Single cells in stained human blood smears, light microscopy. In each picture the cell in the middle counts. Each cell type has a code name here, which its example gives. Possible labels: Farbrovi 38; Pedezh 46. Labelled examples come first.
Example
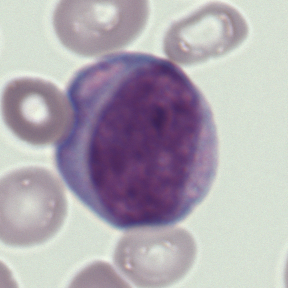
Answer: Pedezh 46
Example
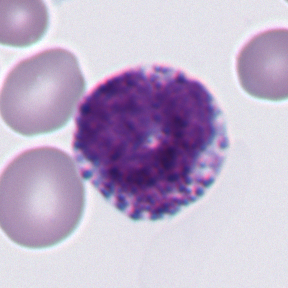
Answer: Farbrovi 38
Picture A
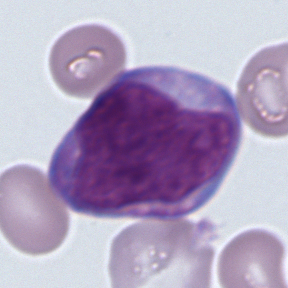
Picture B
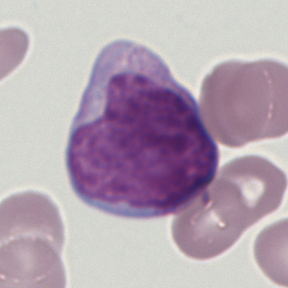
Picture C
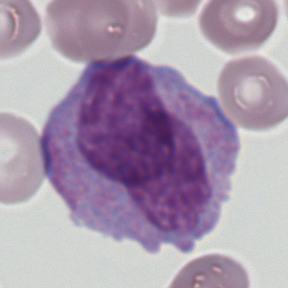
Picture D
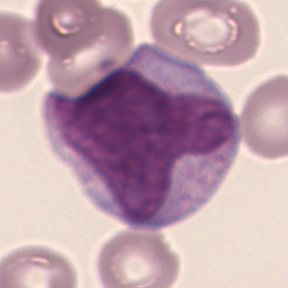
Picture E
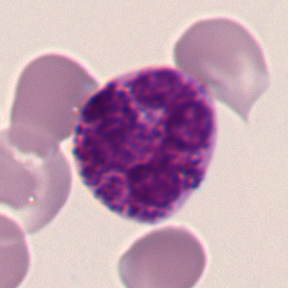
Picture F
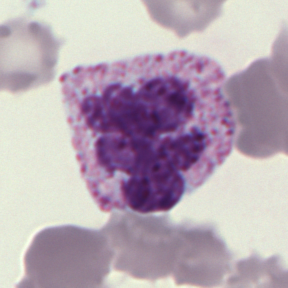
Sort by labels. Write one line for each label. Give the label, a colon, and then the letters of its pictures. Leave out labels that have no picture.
Farbrovi 38: E, F
Pedezh 46: A, B, C, D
